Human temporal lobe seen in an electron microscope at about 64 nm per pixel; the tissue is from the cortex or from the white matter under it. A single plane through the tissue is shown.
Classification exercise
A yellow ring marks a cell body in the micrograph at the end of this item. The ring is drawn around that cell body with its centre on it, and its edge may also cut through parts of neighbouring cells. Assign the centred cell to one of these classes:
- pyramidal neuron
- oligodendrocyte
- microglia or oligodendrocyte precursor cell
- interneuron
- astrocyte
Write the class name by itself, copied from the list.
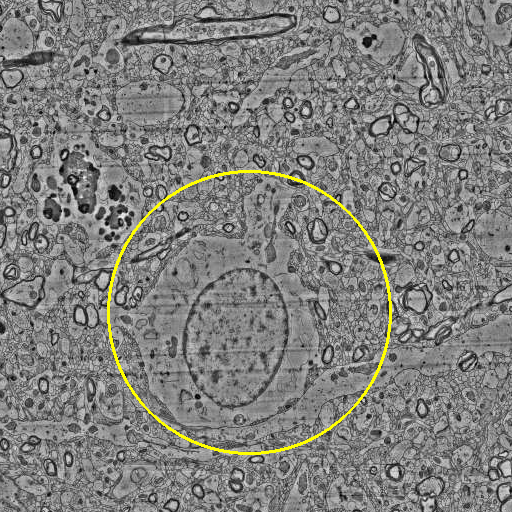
astrocyte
